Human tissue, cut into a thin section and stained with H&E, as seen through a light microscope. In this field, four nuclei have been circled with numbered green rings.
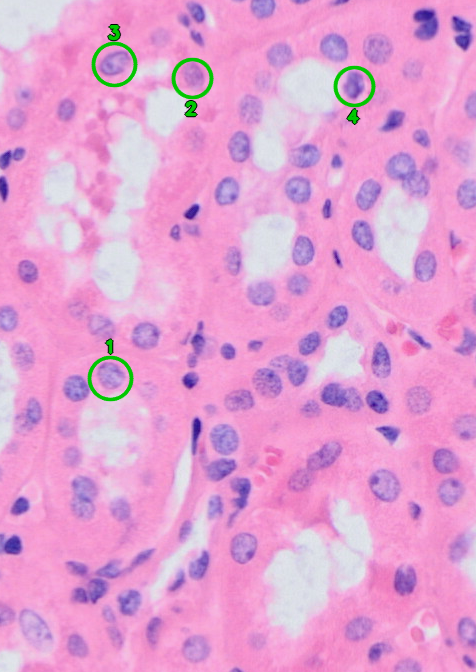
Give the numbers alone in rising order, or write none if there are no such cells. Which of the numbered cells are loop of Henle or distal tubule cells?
1, 4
